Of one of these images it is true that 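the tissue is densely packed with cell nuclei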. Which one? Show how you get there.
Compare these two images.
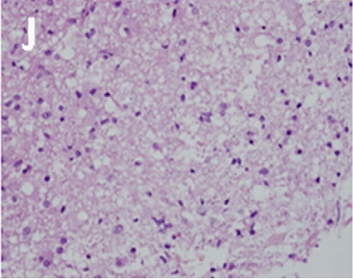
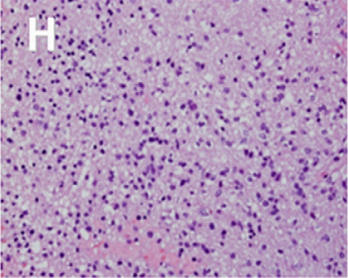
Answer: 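First image: pale, vacuolated tissue with only scattered nuclei.
Conclusion: the second image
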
